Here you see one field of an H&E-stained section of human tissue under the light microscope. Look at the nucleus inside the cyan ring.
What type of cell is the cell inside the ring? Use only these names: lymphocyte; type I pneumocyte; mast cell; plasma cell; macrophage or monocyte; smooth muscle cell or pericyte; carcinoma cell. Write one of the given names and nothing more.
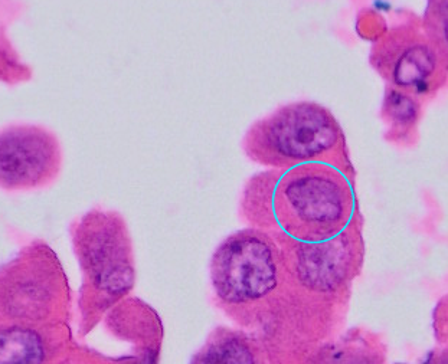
carcinoma cell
